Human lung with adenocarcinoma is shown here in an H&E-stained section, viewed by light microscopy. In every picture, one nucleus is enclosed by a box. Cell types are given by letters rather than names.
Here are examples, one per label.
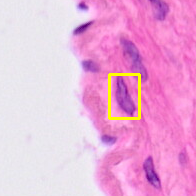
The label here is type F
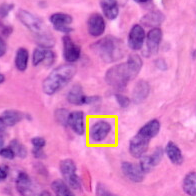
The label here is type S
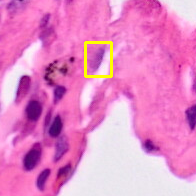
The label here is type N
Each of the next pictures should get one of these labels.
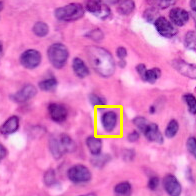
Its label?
type S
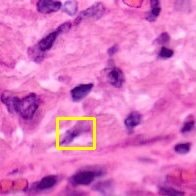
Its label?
type N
